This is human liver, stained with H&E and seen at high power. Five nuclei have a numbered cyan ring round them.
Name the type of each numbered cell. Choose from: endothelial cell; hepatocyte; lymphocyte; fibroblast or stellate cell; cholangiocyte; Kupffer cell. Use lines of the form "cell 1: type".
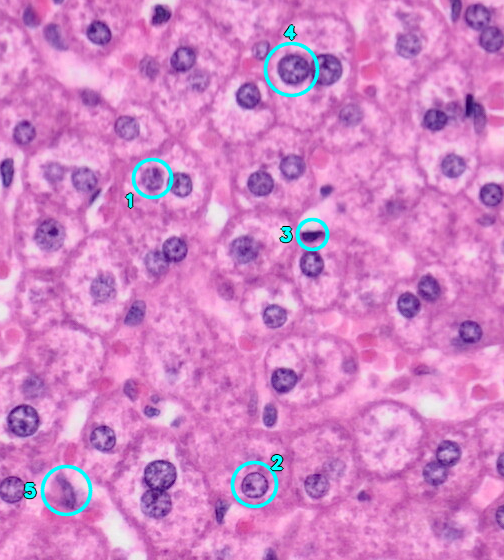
cell 1: hepatocyte
cell 2: hepatocyte
cell 3: endothelial cell
cell 4: hepatocyte
cell 5: Kupffer cell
